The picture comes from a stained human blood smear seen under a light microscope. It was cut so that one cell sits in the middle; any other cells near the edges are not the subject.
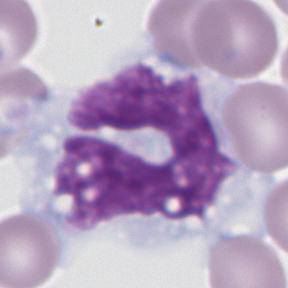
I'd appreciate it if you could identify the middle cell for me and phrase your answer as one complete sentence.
The center cell of this crop is a monocyte.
